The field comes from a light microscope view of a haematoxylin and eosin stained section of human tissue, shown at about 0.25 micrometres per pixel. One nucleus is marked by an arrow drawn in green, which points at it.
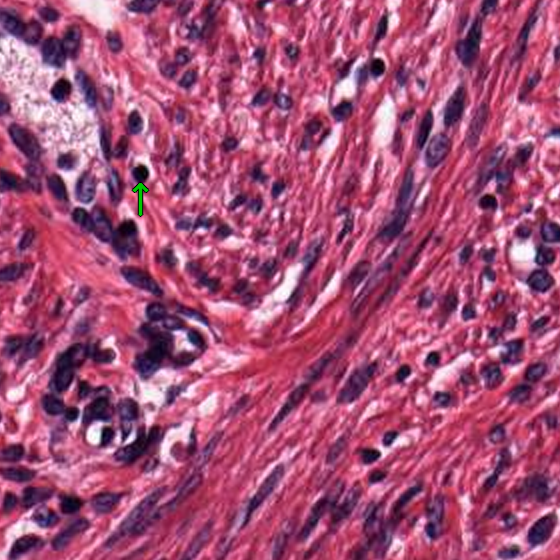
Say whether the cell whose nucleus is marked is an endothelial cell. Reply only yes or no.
no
